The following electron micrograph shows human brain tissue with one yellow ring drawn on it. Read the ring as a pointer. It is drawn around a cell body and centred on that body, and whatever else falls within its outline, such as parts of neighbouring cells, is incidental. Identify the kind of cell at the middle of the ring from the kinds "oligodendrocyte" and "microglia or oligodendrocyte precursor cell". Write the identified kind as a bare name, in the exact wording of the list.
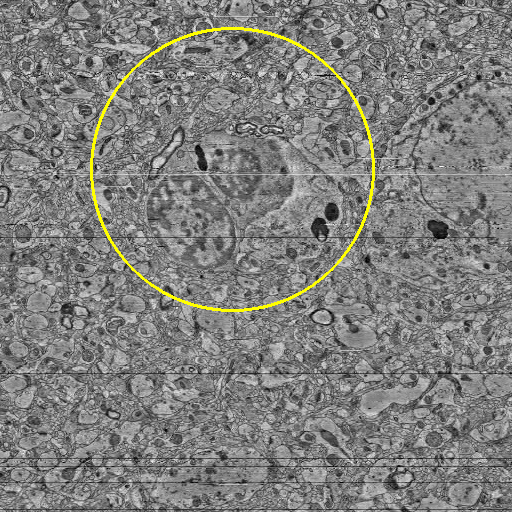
oligodendrocyte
